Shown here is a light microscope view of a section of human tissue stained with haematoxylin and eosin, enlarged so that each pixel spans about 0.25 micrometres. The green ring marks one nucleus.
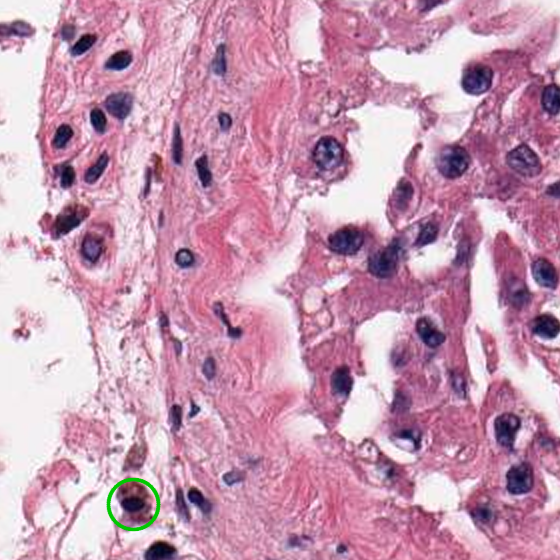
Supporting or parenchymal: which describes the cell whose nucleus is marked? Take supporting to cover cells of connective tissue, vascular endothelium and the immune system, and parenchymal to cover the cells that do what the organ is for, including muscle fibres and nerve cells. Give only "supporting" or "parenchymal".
supporting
